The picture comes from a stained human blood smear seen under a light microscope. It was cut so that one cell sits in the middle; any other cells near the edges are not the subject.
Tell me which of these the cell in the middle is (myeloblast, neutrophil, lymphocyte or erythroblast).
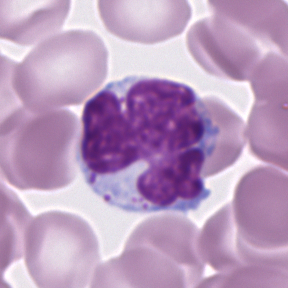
lymphocyte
